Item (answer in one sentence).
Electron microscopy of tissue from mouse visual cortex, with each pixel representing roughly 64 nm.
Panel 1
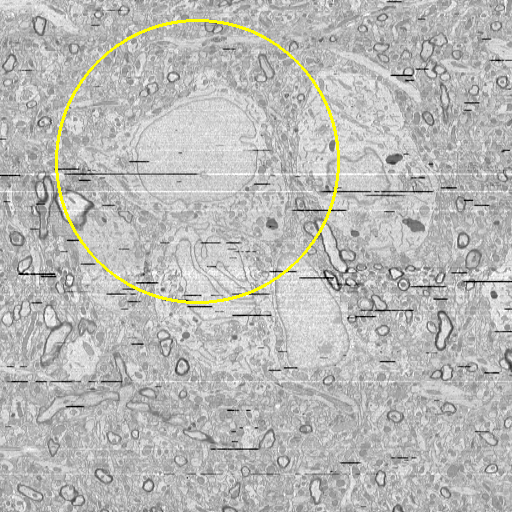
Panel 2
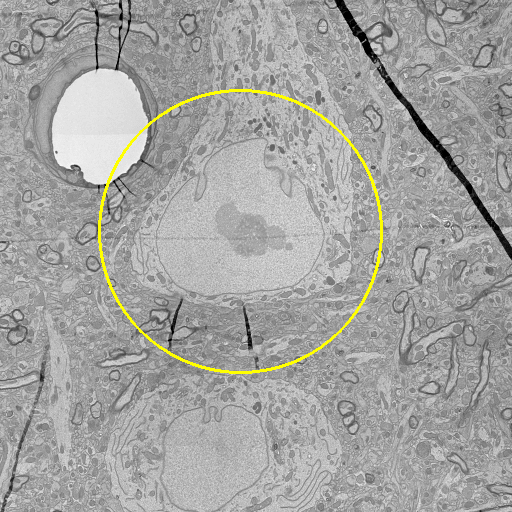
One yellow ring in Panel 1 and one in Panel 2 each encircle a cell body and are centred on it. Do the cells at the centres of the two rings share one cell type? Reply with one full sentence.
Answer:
Yes, Panel 1 and Panel 2 show cells of one type at the centres of their rings.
